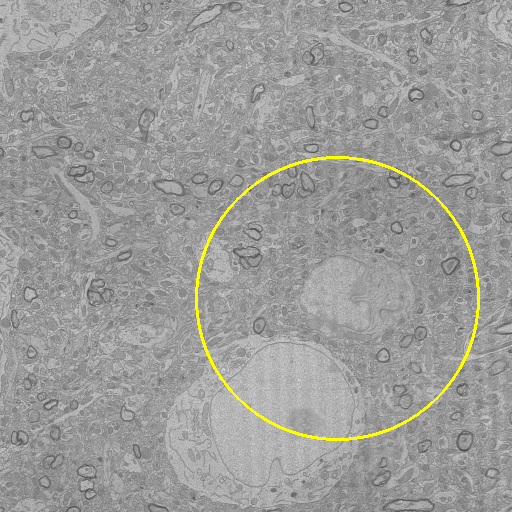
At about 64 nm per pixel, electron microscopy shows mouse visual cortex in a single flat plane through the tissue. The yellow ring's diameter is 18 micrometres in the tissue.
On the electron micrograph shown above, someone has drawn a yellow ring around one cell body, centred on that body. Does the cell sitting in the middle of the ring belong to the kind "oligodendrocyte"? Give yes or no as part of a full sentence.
Yes, the cell located in the middle of the ring in the micrograph is of that kind.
